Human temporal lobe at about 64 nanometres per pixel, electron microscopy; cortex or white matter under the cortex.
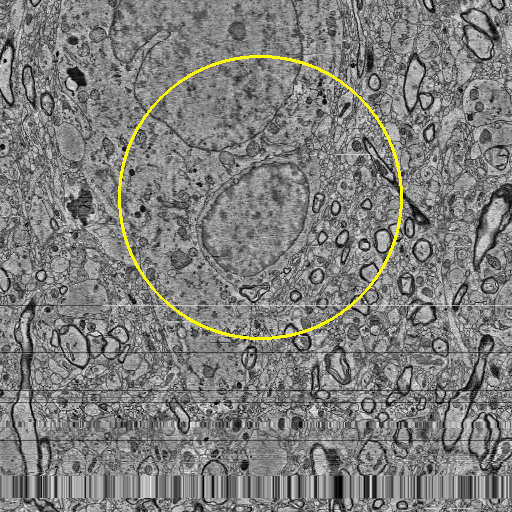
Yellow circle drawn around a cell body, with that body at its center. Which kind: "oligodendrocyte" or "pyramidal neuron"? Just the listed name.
oligodendrocyte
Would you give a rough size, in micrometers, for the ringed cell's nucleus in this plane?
The nucleus is approximately 8 micrometers long by 6 micrometers wide in this plane.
